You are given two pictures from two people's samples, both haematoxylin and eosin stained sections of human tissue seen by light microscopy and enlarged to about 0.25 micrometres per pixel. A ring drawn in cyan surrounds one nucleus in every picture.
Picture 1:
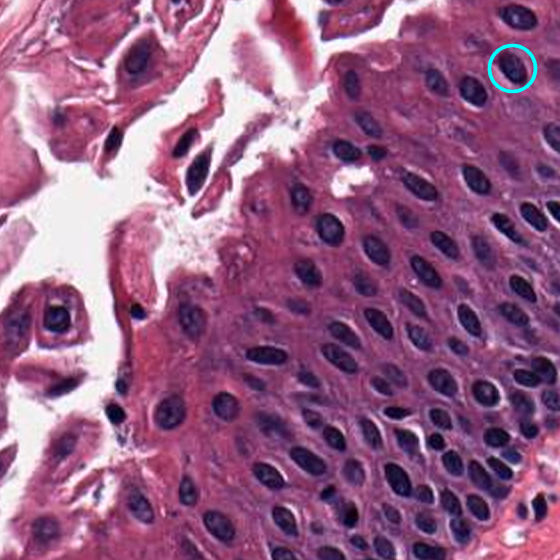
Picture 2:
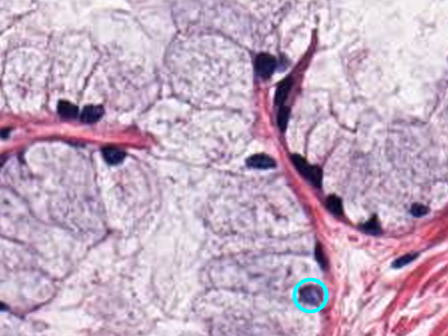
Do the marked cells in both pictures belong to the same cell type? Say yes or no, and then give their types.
No, the first is a squamous epithelial cell and the second a mucous gland cell.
